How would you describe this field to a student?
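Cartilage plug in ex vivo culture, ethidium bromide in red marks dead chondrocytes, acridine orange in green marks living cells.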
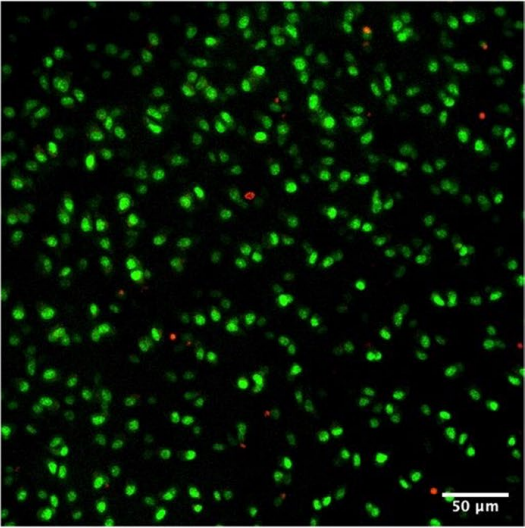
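Nearly every cell glows green, with round to oval shapes and brighter spots within them. Red-glowing cells are very few, seen only as tiny scattered dots.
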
